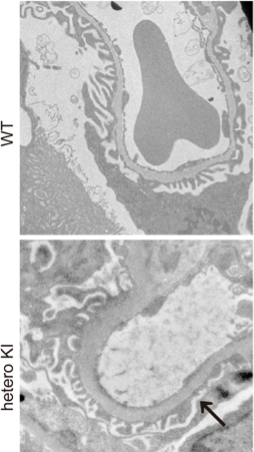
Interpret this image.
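Two transmission electron micrographs show segments of glomerular capillary wall with the capillary lumen on one side and podocyte foot processes on the other. In the upper image the lumen holds a large, evenly grey, smoothly outlined profile, and the wall is a thin, uniform grey basement membrane. On its outer side many small, regularly spaced foot processes rest on the membrane like a row of teeth. In the lower image the grey basement membrane looks wider, and the foot processes along it are fewer and less regular. Where the arrow points, the foot processes are broadened and flattened along the membrane instead of forming separate small feet.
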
